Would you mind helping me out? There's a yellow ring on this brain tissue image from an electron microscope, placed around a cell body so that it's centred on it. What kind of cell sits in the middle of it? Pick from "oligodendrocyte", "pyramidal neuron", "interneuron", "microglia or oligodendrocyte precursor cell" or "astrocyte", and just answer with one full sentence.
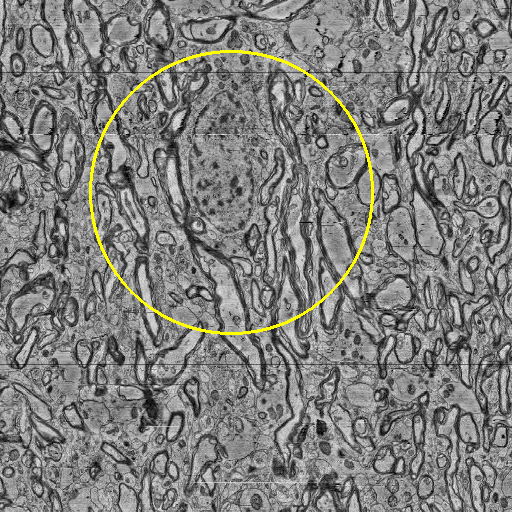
What sits in the middle of that yellow ring is an astrocyte, from your choices.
